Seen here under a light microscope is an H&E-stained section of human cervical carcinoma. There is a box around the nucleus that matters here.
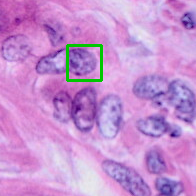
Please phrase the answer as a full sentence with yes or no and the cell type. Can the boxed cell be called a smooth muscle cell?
No, the boxed cell represents an endothelial cell and does not represent a smooth muscle cell.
